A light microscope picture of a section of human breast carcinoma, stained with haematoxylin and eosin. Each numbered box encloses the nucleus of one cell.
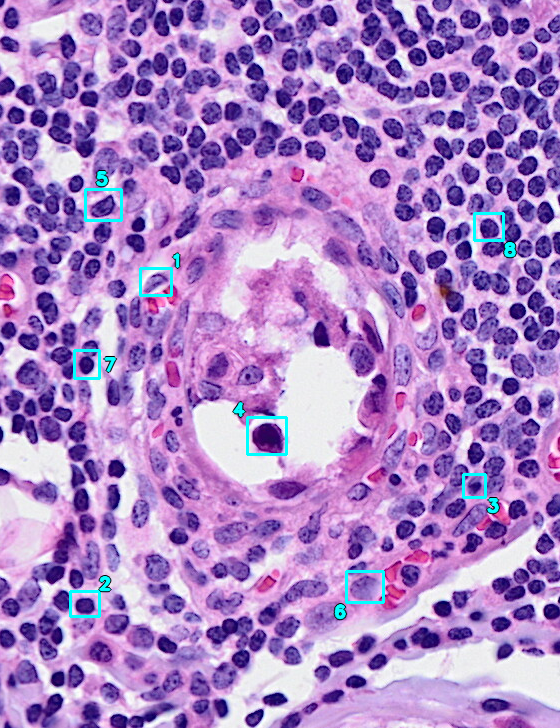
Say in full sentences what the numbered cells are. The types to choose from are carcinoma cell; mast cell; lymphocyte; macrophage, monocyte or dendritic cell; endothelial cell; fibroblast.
Cells 1 and 6 are endothelial cells. Cells 2, 3, 5, 7 and 8 are lymphocytes. Cell 4 is a carcinoma cell.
